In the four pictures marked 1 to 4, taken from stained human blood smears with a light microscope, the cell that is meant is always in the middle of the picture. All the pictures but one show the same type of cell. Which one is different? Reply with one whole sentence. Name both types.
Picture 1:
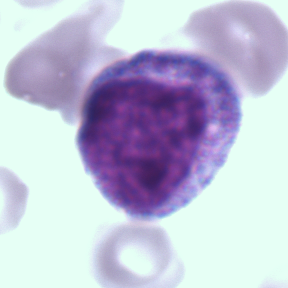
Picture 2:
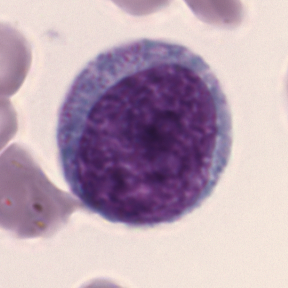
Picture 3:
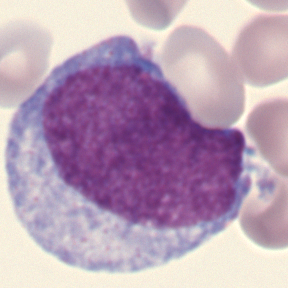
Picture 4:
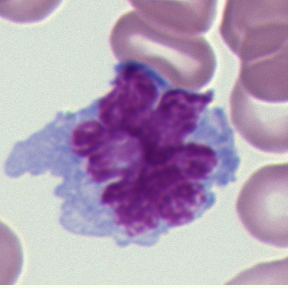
The others show promyelocytes, but picture 4 shows a monocyte.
